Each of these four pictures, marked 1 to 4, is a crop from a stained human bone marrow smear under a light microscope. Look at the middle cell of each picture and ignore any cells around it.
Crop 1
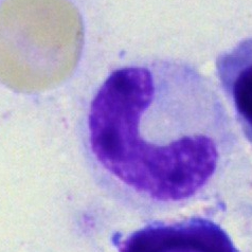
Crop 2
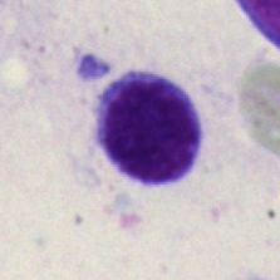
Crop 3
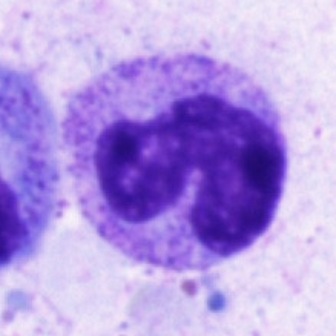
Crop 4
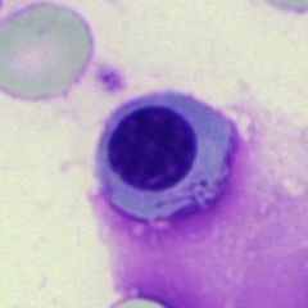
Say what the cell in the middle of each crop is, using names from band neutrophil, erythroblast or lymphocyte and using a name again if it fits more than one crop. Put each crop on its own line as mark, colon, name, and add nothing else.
1: band neutrophil
2: lymphocyte
3: band neutrophil
4: erythroblast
